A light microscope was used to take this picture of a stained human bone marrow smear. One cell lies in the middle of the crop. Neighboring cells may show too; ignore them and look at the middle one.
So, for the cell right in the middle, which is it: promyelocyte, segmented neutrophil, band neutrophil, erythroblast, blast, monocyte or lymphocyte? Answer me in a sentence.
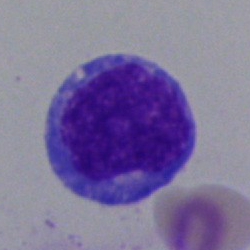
In the middle of this smear crop is a blast.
